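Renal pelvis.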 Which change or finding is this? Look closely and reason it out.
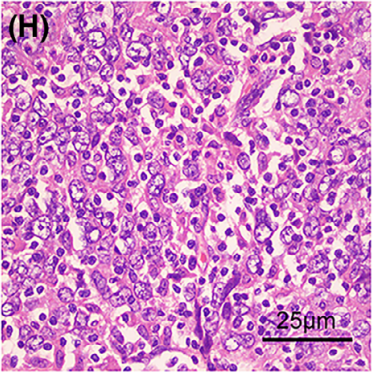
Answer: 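Lymphoepithelioma‐like carcinoma. Sheets and cords of large cells with vesicular nuclei and prominent nucleoli. Small dark round nuclei of lymphoid cells scattered among the large cells. Cell borders of the large cells are indistinct.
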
